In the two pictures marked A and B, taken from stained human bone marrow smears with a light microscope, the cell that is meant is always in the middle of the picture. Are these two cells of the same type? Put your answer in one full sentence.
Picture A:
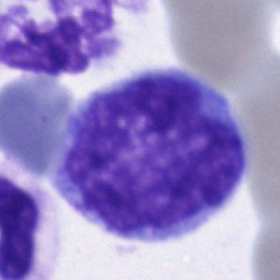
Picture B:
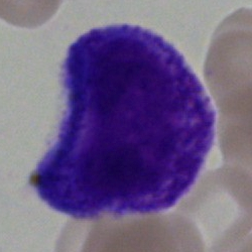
No. Picture A shows a monocyte, but picture B shows a promyelocyte.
